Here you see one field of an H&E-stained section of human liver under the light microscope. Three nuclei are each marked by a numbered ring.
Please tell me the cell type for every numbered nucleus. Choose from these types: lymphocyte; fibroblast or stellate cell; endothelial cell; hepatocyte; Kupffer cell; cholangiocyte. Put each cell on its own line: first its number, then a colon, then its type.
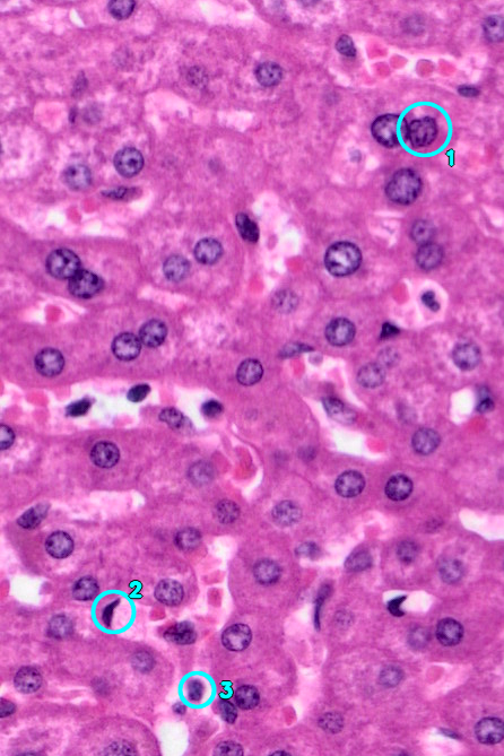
1: hepatocyte
2: endothelial cell
3: lymphocyte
